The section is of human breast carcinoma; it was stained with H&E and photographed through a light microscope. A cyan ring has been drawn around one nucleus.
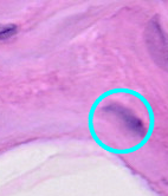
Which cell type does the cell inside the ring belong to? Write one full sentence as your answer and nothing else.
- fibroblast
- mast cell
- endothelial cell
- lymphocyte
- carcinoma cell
By its classification, the cell inside the ring is a fibroblast.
